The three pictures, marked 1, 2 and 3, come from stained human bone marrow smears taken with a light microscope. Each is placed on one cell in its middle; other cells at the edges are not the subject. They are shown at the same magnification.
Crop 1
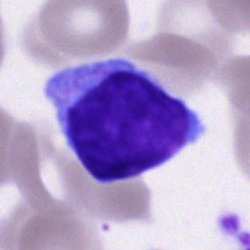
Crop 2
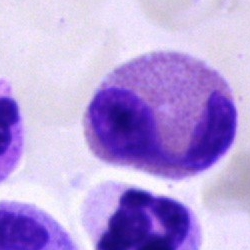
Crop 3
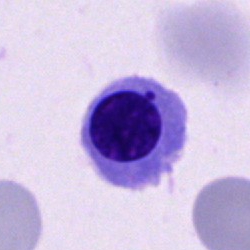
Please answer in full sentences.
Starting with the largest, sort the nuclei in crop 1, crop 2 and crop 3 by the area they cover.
Largest first: 1, 2, 3.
